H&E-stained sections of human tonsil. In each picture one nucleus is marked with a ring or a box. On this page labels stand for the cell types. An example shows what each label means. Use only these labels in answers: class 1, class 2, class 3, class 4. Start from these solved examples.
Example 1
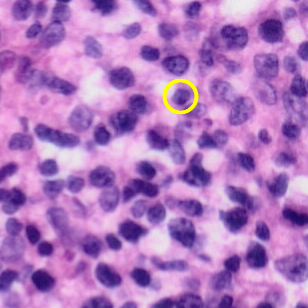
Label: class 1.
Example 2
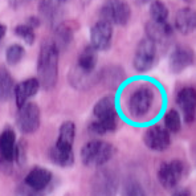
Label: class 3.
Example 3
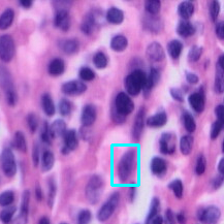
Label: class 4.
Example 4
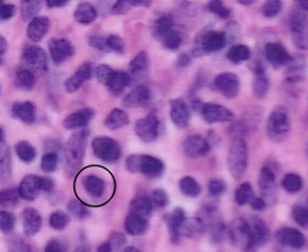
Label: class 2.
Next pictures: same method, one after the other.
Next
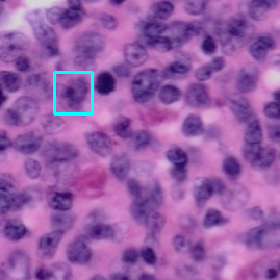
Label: class 1.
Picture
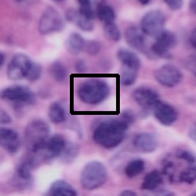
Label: class 1.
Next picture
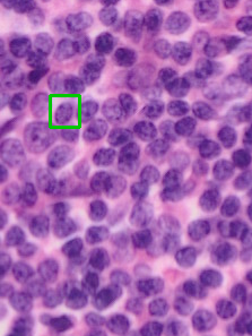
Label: class 2.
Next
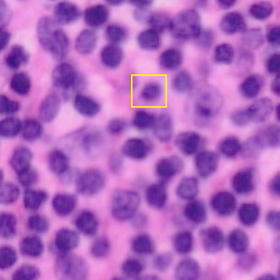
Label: class 2.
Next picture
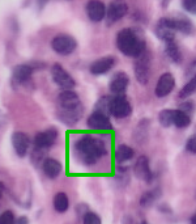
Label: class 1.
